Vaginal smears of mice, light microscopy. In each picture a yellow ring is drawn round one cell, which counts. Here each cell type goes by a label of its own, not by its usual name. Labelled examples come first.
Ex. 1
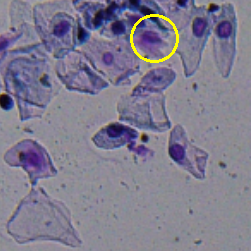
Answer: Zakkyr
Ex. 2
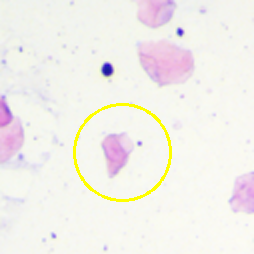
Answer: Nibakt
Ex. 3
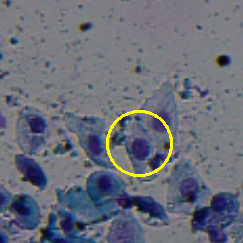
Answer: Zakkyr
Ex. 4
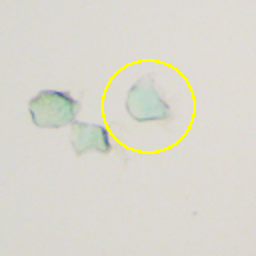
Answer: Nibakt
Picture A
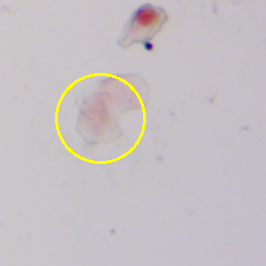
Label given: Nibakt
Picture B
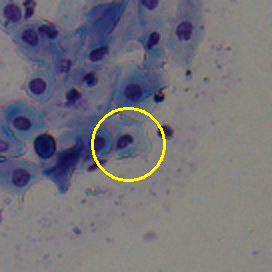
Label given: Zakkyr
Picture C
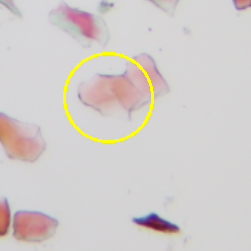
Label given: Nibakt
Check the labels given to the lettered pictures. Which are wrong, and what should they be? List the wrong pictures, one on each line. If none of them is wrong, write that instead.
None of the labels needs changing.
